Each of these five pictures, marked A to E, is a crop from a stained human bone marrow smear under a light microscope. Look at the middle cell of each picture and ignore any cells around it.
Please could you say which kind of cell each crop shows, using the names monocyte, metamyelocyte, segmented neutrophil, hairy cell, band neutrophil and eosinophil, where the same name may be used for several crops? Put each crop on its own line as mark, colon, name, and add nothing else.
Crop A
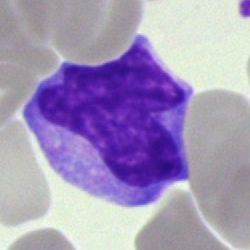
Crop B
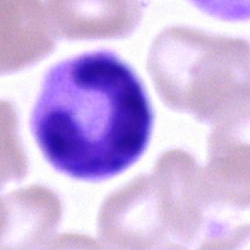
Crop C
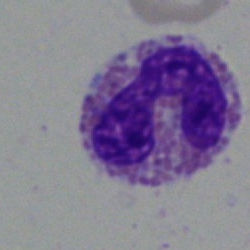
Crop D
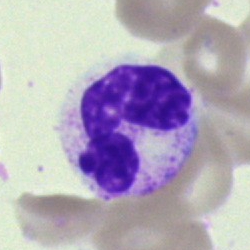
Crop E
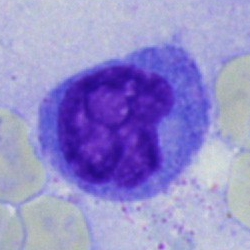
A: monocyte
B: band neutrophil
C: eosinophil
D: segmented neutrophil
E: monocyte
